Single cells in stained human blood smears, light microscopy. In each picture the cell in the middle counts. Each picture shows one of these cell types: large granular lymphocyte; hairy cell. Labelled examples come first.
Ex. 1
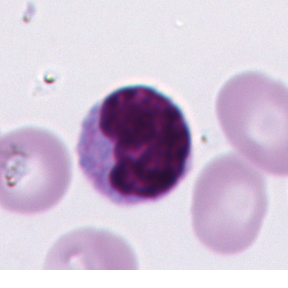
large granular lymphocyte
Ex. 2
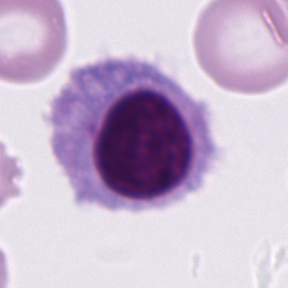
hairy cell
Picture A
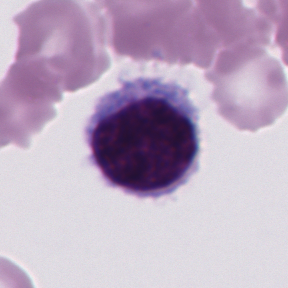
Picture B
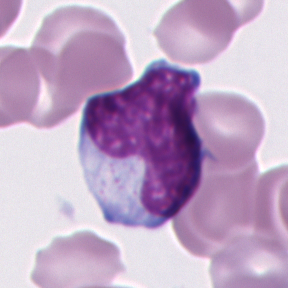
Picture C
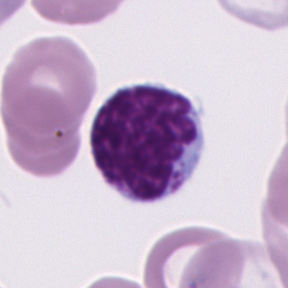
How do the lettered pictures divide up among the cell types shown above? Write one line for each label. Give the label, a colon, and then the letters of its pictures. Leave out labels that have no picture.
large granular lymphocyte: B, C
hairy cell: A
